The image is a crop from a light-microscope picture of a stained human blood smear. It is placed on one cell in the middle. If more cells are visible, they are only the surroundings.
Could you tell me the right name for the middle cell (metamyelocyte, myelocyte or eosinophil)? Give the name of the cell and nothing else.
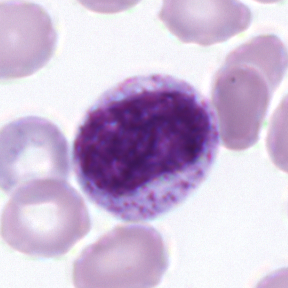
metamyelocyte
